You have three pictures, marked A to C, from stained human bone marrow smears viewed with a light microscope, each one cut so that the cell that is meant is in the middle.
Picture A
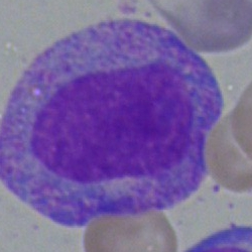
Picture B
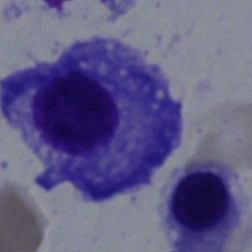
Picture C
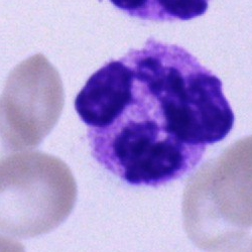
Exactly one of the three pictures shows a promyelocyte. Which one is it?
A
